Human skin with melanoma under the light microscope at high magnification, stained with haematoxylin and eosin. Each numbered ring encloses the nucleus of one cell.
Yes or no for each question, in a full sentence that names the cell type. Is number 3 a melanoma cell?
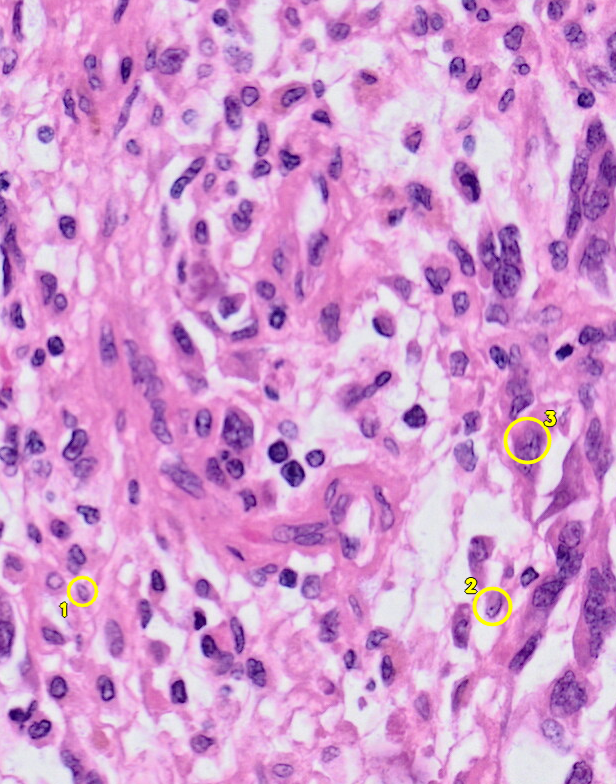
Yes, the cell referred to as number 3 is a melanoma cell.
